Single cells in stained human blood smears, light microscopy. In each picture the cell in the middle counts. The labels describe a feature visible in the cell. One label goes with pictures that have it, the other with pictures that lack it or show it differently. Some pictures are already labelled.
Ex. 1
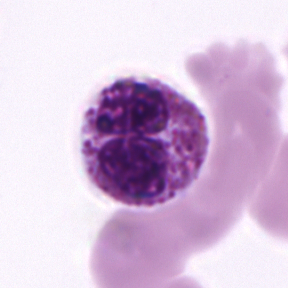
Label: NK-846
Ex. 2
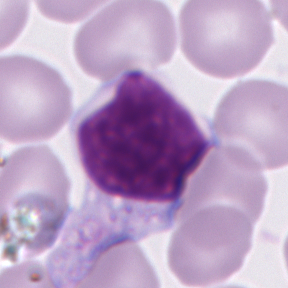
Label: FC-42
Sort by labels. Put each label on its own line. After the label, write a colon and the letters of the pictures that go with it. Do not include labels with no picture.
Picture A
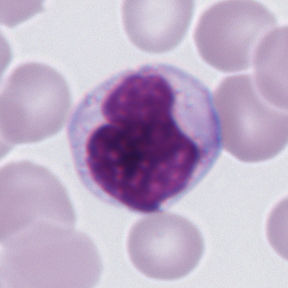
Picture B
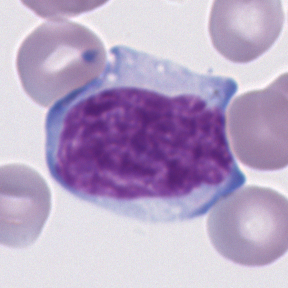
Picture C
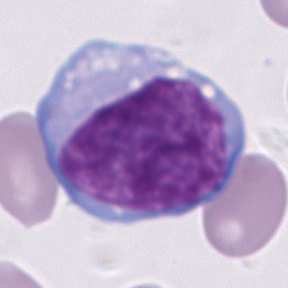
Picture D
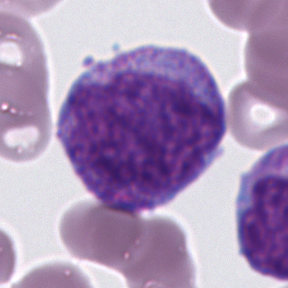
NK-846: A, D
FC-42: B, C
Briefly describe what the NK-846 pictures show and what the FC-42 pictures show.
Seen in NK-846: no vacuoles; seen in FC-42: vacuoles present.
